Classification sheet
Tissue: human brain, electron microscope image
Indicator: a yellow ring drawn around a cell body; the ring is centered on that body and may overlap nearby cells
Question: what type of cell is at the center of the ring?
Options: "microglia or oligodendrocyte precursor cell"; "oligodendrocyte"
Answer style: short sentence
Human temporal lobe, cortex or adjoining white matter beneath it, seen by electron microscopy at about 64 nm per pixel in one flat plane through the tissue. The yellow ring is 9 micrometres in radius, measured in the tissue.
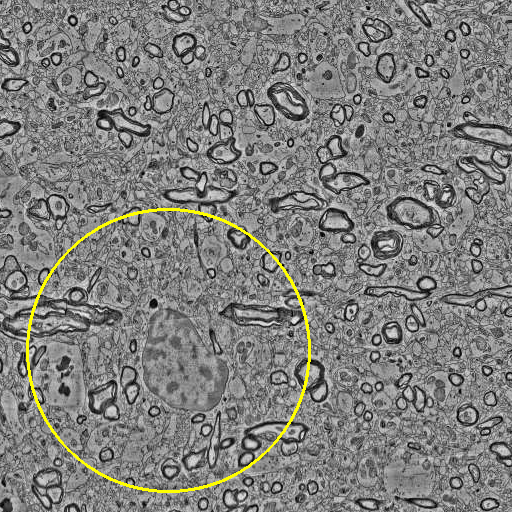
At the ring's center is a microglial cell or oligodendrocyte precursor cell.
